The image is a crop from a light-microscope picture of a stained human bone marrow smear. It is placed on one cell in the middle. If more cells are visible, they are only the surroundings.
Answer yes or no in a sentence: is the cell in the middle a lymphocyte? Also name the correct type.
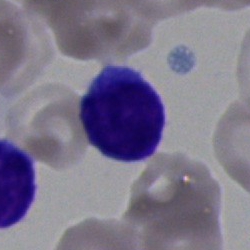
Yes, the centre of the crop holds a lymphocyte.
